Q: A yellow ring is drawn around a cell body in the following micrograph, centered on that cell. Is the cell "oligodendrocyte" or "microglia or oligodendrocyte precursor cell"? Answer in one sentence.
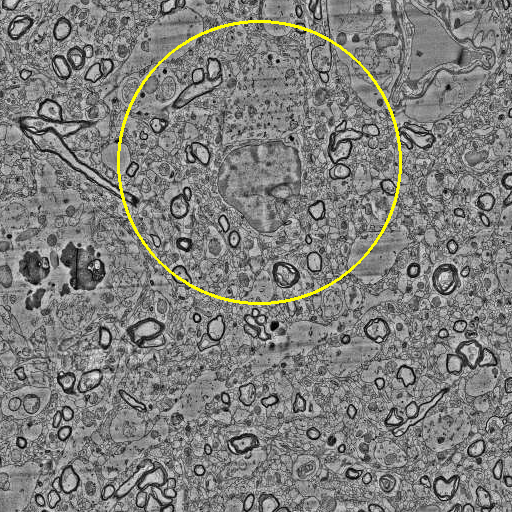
The cell in the center of the ring is a microglial cell or oligodendrocyte precursor cell.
